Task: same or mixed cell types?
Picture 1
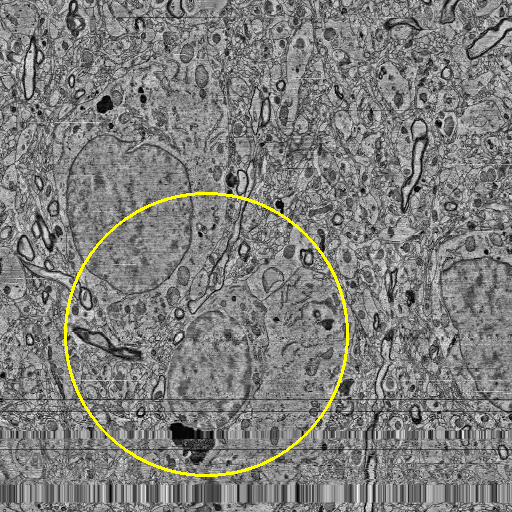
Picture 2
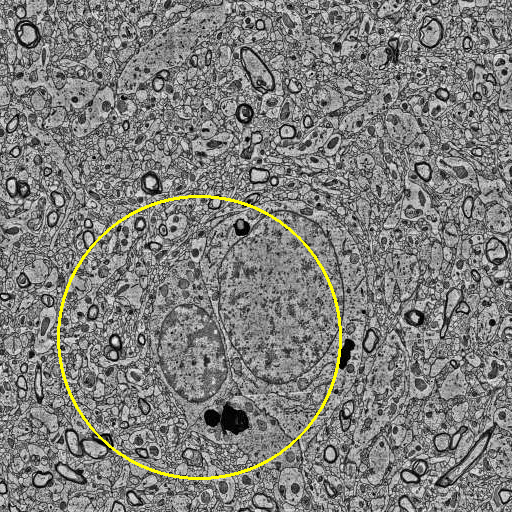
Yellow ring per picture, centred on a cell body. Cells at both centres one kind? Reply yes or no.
yes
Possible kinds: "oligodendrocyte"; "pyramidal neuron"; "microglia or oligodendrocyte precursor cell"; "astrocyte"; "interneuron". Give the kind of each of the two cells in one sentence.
The cell at the ring centre is an oligodendrocyte in both pictures.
